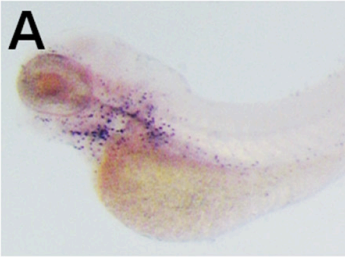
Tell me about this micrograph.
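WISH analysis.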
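This is a whole zebrafish larva seen from the side at low magnification, with its head and eye at the left, the large yellowish yolk sac below, and the slender trunk and tail running off to the right. Small dark purple dots stand out against the pale tissue. They cluster most densely in a band behind the eye and over the front of the yolk sac, and more sparsely across the yolk and along the trunk. Each dot is about the size of a single cell, so the labelling seems to sit in scattered individual cells rather than filling a whole organ.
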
